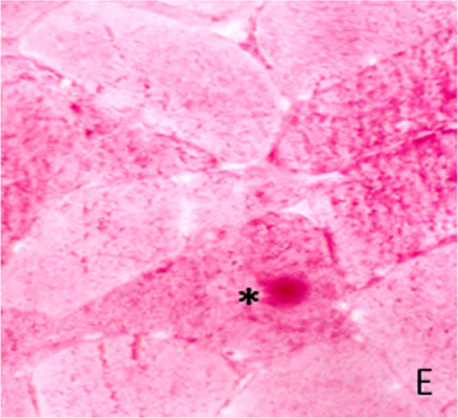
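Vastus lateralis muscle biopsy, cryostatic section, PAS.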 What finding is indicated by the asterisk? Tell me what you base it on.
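Beside the asterisk a dense, rounded, deep magenta focus lies within one fibre. The rest of the fibre stains a paler, granular pink. The answer: deposits.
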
